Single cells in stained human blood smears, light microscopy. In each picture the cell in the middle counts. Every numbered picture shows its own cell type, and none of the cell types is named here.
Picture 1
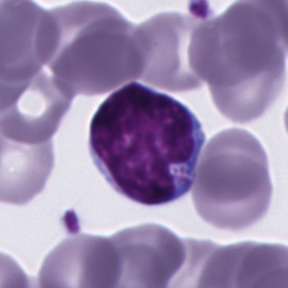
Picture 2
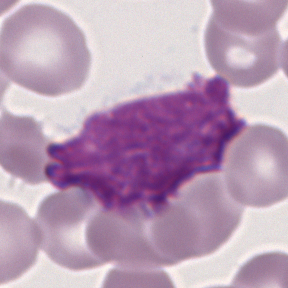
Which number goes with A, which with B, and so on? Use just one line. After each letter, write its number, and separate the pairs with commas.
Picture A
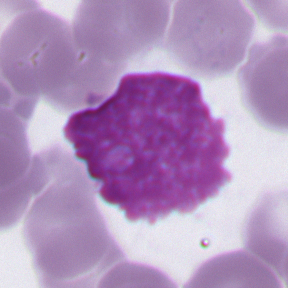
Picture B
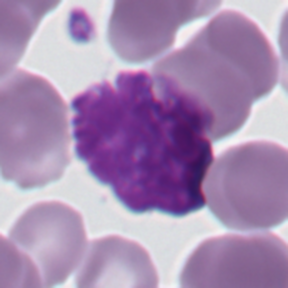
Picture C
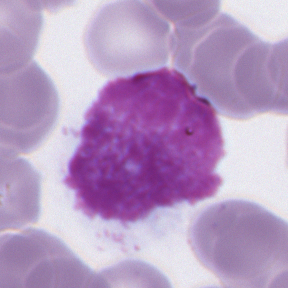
A 2, B 2, C 2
